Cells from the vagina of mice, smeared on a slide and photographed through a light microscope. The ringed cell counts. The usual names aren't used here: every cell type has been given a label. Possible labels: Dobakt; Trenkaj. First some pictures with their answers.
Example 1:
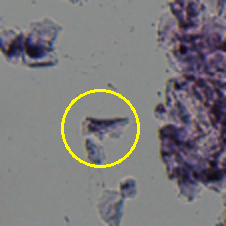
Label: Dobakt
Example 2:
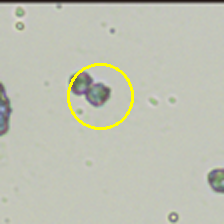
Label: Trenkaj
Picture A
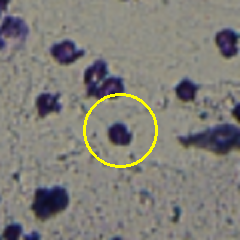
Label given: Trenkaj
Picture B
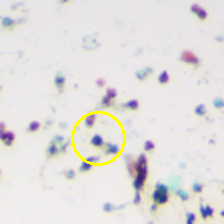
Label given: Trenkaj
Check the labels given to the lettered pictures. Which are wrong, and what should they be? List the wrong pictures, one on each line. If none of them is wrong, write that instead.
All correct.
